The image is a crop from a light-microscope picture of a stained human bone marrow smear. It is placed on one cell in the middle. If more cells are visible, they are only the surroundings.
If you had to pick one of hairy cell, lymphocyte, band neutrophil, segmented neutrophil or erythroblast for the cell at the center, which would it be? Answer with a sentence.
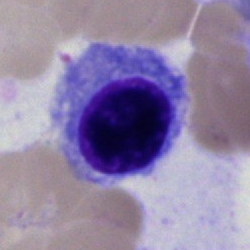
Regarding the central cell, it is an erythroblast.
